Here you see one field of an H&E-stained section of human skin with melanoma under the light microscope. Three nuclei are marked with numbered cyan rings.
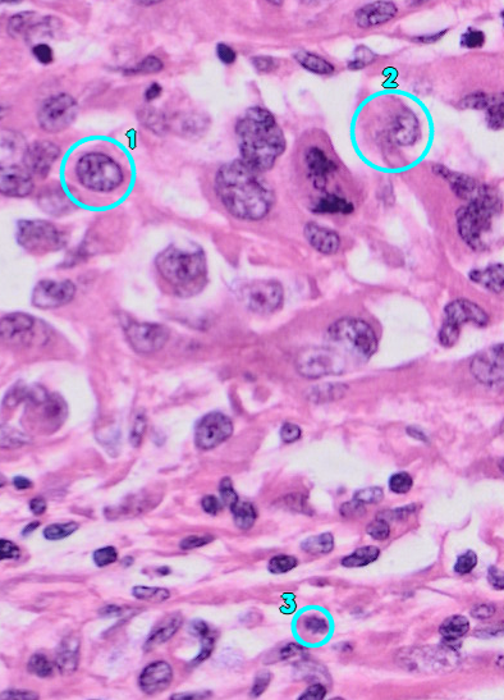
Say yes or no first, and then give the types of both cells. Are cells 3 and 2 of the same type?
No, cell 3 is typed as a plasma cell, and cell 2 is typed as a melanoma cell.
